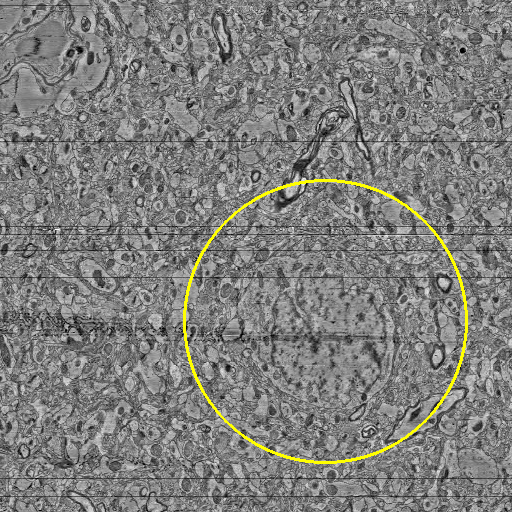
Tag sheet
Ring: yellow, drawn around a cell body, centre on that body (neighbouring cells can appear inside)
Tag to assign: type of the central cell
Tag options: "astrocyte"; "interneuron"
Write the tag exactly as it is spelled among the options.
interneuron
